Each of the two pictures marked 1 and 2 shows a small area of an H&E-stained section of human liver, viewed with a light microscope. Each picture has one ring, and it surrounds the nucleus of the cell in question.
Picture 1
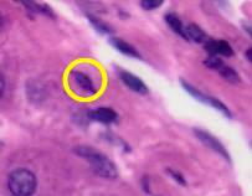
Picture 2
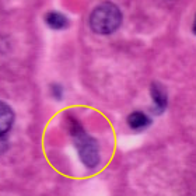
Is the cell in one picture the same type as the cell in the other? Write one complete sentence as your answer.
No, picture 1 shows a “fibroblast or stellate cell” and picture 2 shows a Kupffer cell.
